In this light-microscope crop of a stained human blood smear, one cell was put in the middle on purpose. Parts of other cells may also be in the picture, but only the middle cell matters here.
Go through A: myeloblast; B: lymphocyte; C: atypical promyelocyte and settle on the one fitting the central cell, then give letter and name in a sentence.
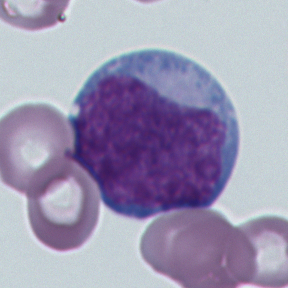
The central cell is a myeloblast, which makes option A the right answer.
